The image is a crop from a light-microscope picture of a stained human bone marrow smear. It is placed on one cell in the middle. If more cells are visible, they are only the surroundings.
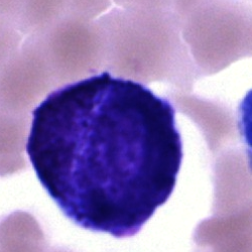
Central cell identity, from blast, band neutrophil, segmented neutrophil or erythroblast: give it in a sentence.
The cell that lies at the centre of the crop is a blast.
